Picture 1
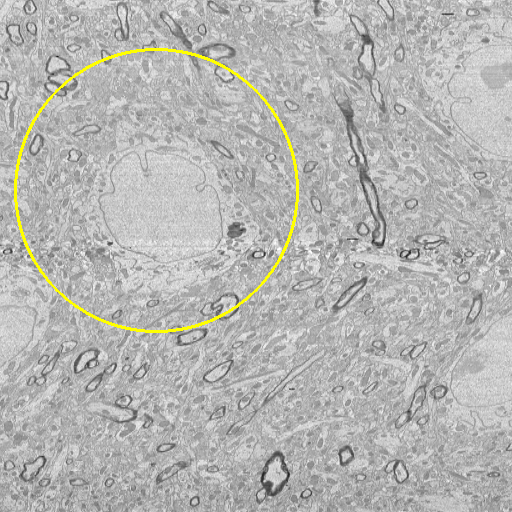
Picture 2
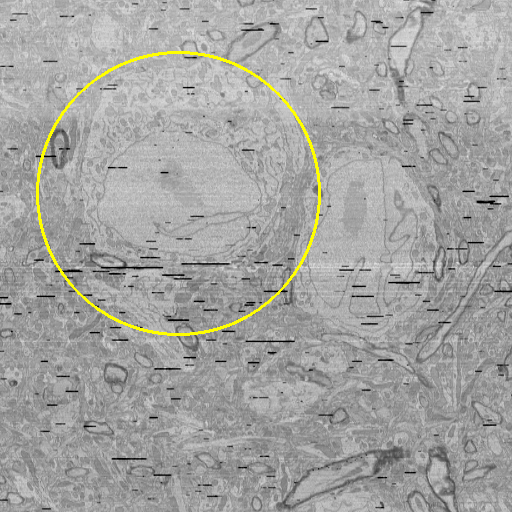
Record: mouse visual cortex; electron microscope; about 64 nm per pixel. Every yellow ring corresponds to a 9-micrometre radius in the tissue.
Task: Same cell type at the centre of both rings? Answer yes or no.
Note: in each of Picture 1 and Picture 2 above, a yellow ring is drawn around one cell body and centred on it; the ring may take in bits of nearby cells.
no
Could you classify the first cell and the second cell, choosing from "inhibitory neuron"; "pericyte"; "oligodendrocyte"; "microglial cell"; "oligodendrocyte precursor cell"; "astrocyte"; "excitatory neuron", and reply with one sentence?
The second cell is an inhibitory neuron, while the first is an excitatory neuron.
